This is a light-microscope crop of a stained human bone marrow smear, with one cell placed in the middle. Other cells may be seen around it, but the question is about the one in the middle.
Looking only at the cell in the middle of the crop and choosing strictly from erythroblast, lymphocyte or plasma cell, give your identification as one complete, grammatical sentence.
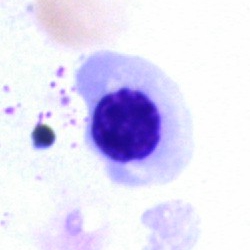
Occupying the centre of the crop is an erythroblast.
